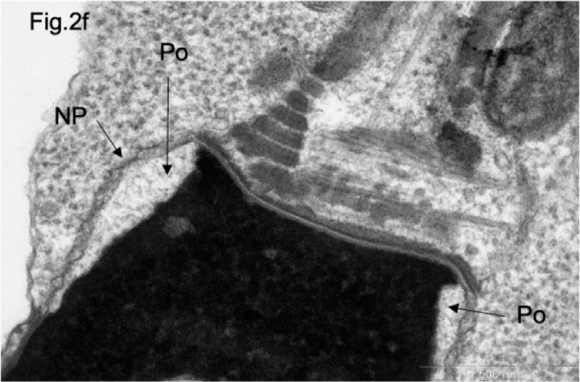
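This shows the base of a sperm head, where the very dense, condensed nucleus ends and its envelope runs on beyond the chromatin as a loose, redundant fold enclosing a pale space. Next to the base lies cytoplasm with striated, banded structures.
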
